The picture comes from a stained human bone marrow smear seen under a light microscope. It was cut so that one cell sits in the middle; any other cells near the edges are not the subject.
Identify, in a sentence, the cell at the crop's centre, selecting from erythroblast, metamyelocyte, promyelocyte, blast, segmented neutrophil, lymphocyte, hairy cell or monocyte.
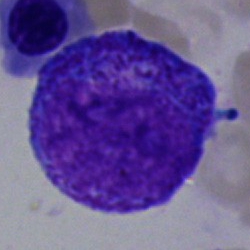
At the crop's centre, the cell is a promyelocyte.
